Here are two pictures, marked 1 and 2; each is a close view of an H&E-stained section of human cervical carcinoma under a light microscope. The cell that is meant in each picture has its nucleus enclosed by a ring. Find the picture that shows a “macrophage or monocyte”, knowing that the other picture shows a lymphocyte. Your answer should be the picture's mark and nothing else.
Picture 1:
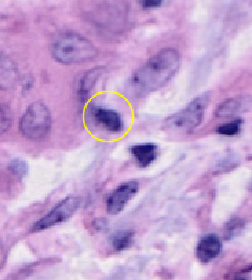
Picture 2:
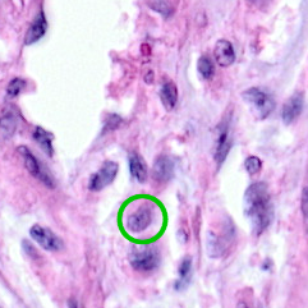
2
